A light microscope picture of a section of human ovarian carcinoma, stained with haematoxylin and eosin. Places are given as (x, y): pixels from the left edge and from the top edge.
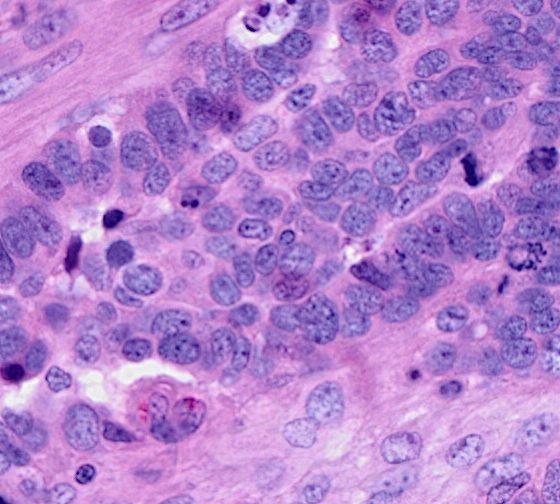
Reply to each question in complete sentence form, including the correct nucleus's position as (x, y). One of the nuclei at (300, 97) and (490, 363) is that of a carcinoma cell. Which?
The nucleus of a carcinoma cell lies at (490, 363), not at the other position.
